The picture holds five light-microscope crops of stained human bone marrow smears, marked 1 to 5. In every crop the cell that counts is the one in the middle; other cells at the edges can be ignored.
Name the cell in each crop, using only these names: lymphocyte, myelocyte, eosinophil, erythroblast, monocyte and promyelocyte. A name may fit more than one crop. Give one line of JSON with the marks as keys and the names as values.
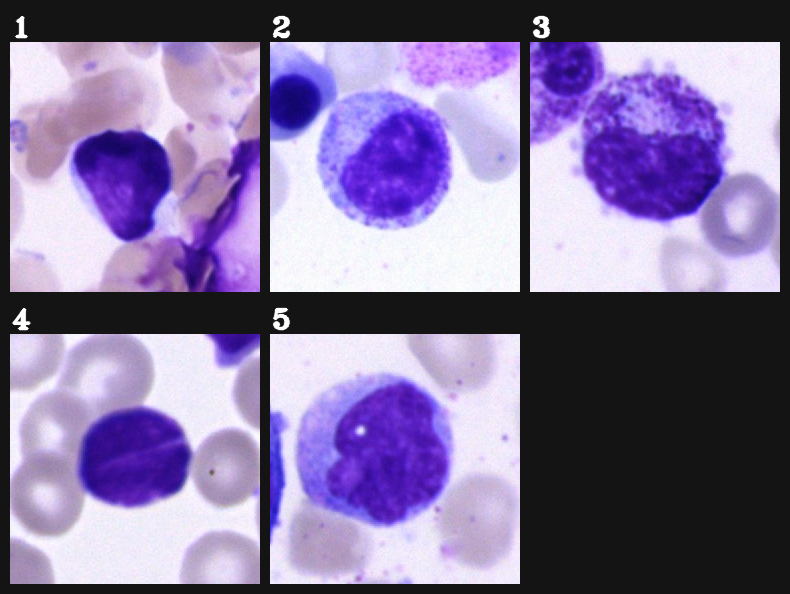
{"1": "lymphocyte", "2": "myelocyte", "3": "myelocyte", "4": "lymphocyte", "5": "monocyte"}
